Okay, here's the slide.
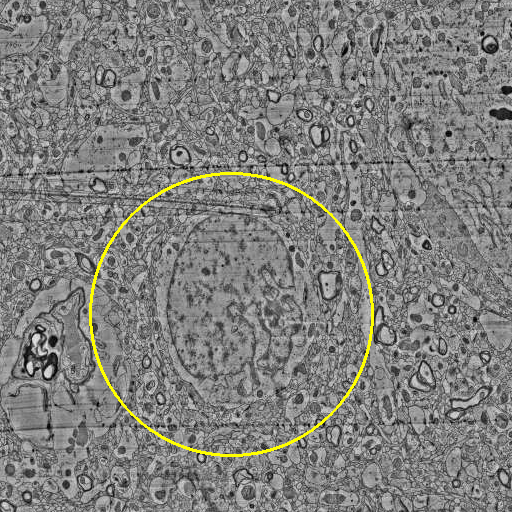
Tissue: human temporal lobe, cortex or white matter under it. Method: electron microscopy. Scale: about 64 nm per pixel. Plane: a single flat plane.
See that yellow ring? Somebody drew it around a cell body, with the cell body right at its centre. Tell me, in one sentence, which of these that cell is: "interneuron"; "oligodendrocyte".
The cell in the middle of the ring is an interneuron.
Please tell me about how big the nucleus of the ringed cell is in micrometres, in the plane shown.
In this plane the nucleus spans approximately 11 by 9 micrometers.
